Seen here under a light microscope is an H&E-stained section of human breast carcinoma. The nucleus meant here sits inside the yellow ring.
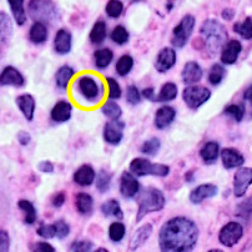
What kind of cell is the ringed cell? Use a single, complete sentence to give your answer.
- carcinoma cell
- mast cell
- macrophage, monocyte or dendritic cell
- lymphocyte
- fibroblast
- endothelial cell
The identity of the ringed cell: it is a lymphocyte.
